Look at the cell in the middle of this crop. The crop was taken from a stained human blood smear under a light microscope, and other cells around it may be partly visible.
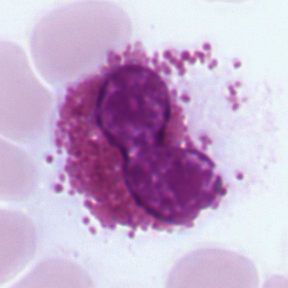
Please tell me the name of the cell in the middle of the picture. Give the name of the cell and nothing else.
eosinophil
